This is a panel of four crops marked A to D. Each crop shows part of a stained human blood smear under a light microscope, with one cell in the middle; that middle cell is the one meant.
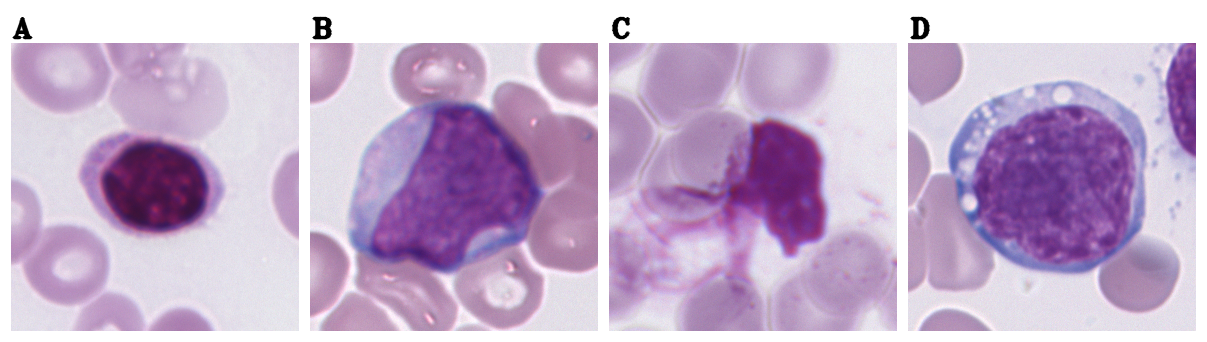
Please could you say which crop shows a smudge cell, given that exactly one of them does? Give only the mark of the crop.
C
